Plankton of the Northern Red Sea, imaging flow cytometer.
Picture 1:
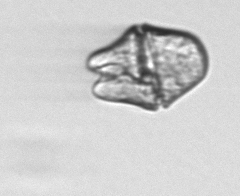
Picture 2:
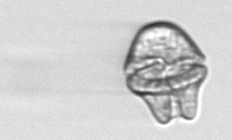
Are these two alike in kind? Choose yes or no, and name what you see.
Yes. Akashiwo.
